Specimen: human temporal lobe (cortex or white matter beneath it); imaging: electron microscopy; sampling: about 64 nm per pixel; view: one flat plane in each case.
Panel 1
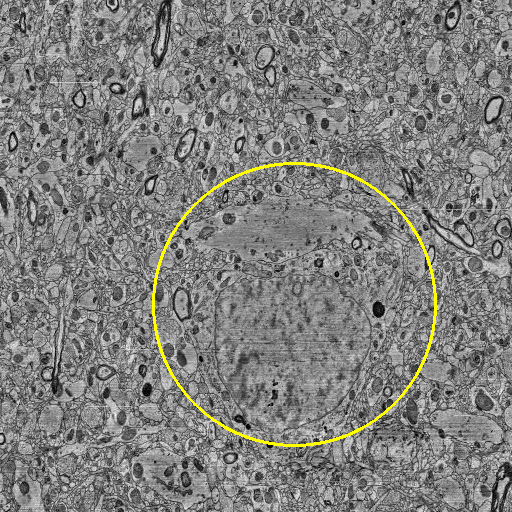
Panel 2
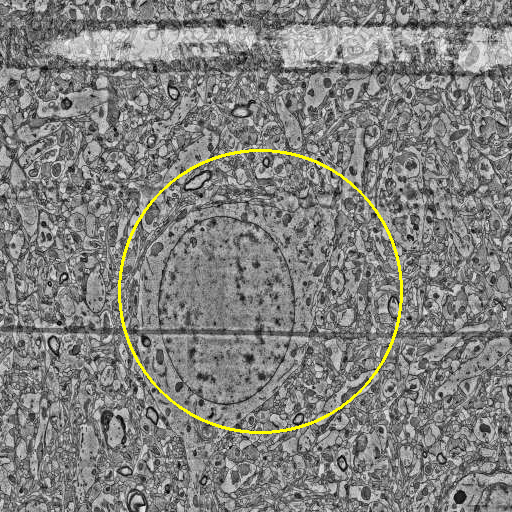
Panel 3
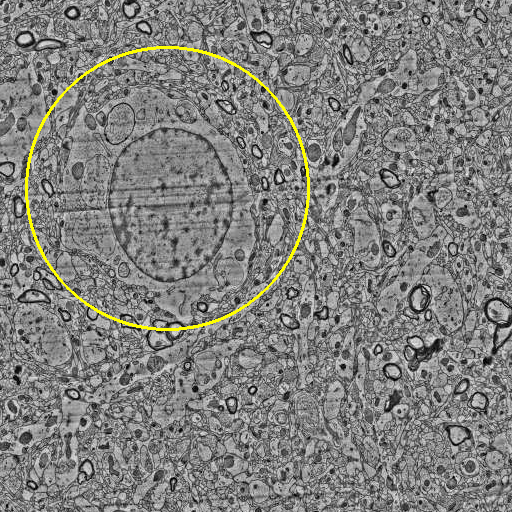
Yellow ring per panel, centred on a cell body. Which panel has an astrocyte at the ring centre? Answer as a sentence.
Panel 3 shows it at the ring centre.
